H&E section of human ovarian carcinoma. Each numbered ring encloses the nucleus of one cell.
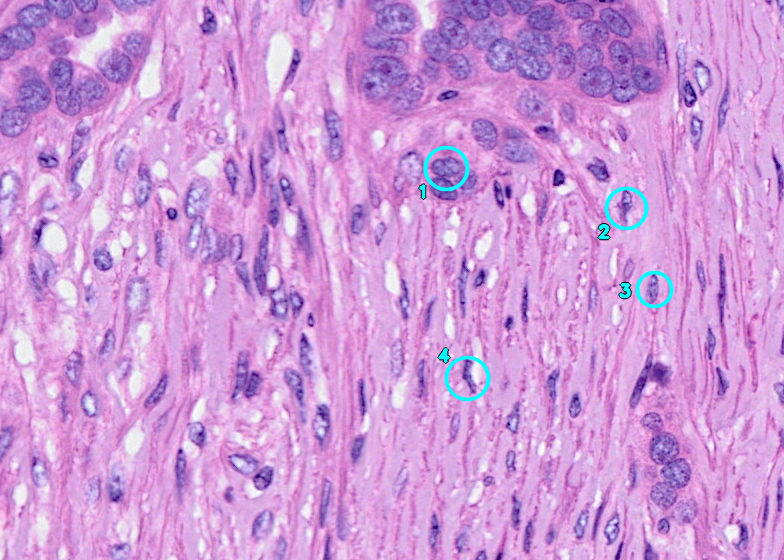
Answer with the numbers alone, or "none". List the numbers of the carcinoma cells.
1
